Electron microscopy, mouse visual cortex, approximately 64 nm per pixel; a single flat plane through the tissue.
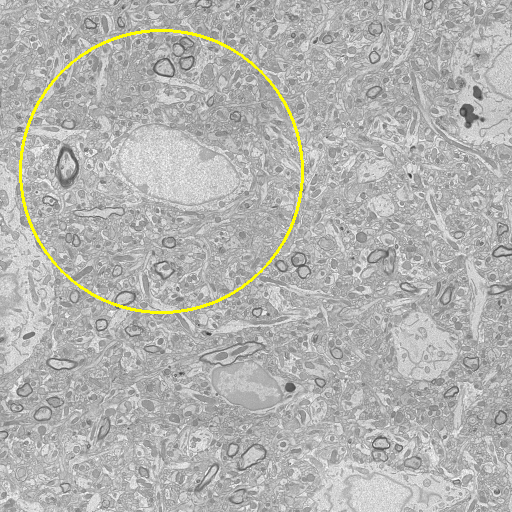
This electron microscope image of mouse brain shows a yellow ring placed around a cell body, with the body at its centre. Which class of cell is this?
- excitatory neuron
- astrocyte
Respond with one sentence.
The cell body at the ring's centre is an astrocyte.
